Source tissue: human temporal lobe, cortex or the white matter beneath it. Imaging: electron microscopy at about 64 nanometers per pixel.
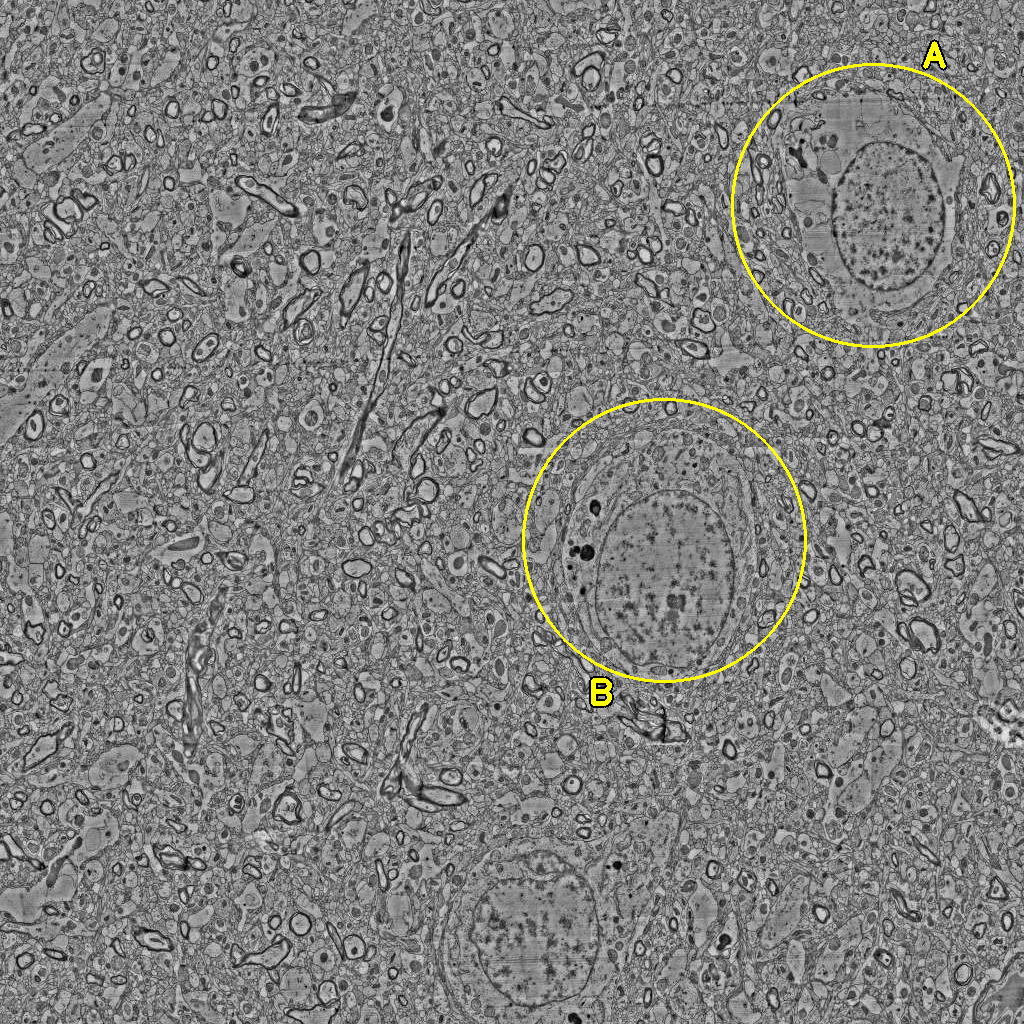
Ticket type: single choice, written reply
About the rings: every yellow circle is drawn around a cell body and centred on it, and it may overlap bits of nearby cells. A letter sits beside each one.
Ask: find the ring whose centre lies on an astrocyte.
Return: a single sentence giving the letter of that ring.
At the centre of the ring marked A lies the cell asked for.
